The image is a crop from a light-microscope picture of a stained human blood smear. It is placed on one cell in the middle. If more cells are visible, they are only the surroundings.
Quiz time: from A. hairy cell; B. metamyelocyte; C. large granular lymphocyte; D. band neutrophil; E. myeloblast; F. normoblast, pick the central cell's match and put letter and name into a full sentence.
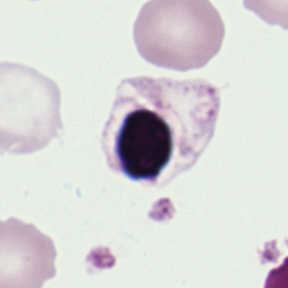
Option F is the right choice, the central cell being a normoblast.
